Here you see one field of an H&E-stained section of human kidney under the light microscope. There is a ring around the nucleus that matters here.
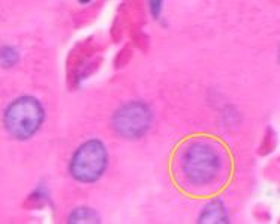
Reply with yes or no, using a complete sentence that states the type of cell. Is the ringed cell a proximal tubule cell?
Yes, what the ringed cell represents in this tissue is a proximal tubule cell.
